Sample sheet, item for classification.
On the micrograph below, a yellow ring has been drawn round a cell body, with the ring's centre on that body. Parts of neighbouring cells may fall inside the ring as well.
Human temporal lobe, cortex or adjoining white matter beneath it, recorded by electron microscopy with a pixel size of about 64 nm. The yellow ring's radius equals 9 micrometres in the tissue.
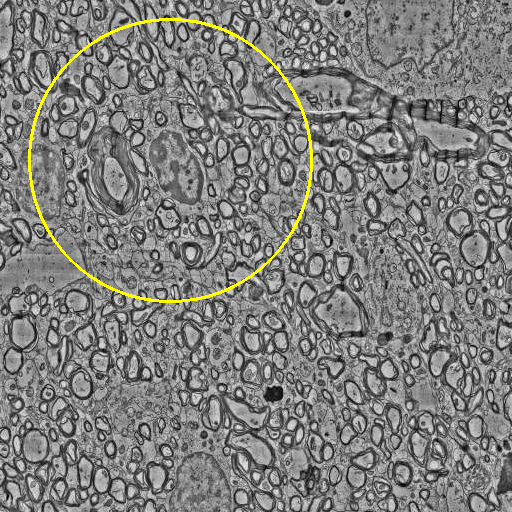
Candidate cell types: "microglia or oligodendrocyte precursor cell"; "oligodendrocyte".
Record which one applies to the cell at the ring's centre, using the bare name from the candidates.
microglia or oligodendrocyte precursor cell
